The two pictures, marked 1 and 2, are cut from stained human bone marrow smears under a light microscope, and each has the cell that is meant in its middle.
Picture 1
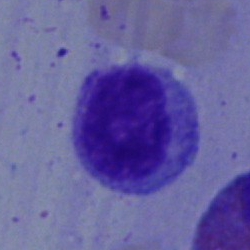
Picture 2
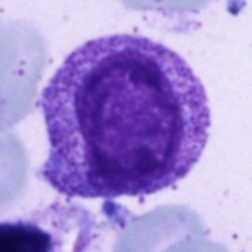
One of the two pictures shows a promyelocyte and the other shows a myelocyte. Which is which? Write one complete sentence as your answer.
Picture 2 shows a promyelocyte, while picture 1 shows a myelocyte.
